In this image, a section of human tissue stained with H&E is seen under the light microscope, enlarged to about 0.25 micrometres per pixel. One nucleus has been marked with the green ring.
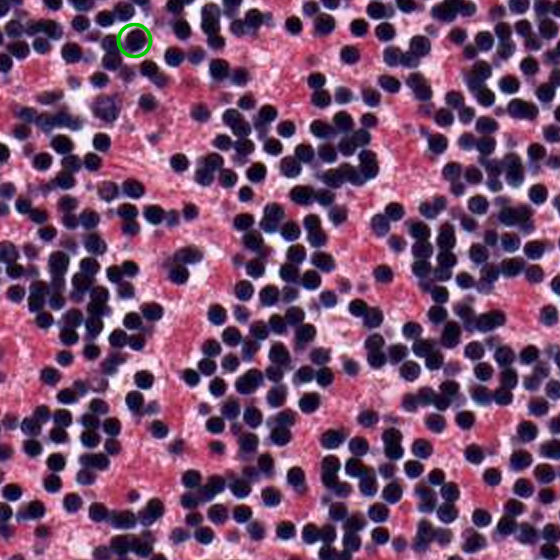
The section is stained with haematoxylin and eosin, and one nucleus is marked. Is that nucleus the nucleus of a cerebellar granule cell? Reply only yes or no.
yes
